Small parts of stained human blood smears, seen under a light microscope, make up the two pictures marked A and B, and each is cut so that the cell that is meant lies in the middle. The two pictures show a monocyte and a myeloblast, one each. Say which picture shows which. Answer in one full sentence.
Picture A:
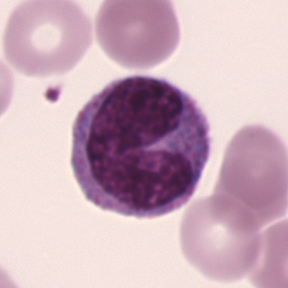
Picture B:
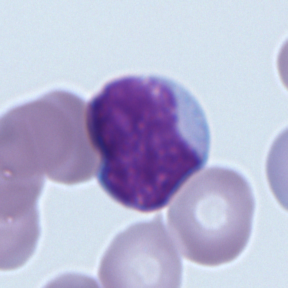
The cell in picture A is a monocyte, and the one in picture B is a myeloblast.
